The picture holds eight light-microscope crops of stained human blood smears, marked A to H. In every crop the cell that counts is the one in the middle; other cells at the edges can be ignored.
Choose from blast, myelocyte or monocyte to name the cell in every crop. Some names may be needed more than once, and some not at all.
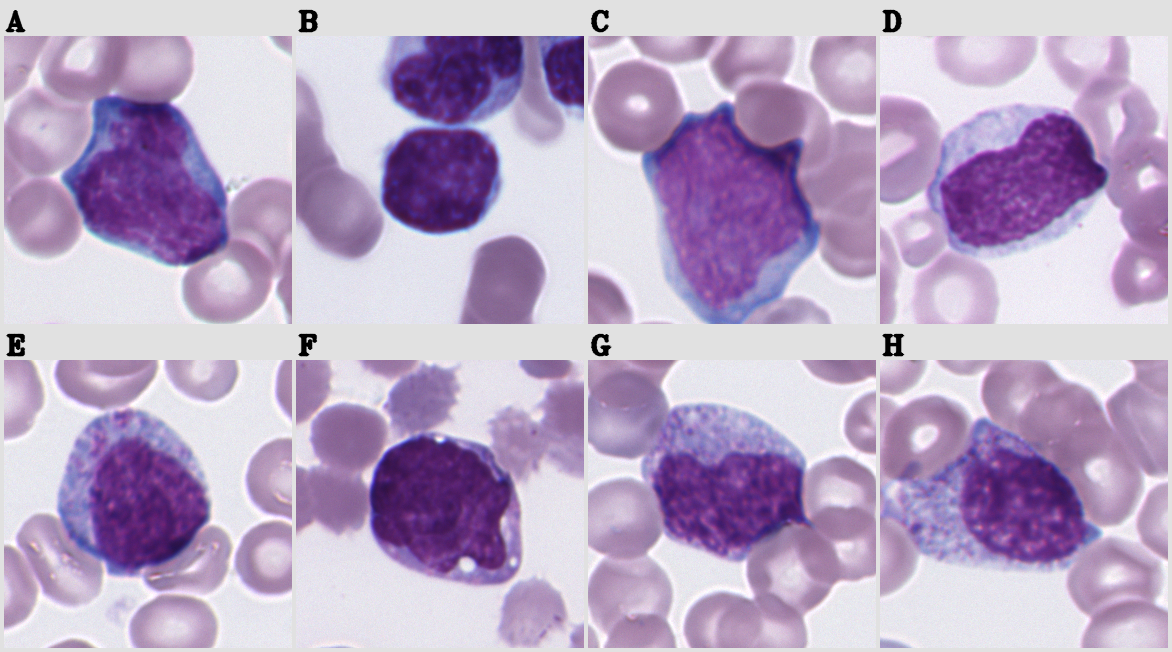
A: blast
B: monocyte
C: blast
D: monocyte
E: myelocyte
F: monocyte
G: myelocyte
H: myelocyte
